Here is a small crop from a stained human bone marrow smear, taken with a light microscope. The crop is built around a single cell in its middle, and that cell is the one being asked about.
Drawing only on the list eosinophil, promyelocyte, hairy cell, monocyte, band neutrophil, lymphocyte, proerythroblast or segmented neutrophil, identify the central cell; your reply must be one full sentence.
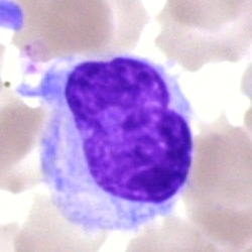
The cell of interest, in the center, is a hairy cell.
